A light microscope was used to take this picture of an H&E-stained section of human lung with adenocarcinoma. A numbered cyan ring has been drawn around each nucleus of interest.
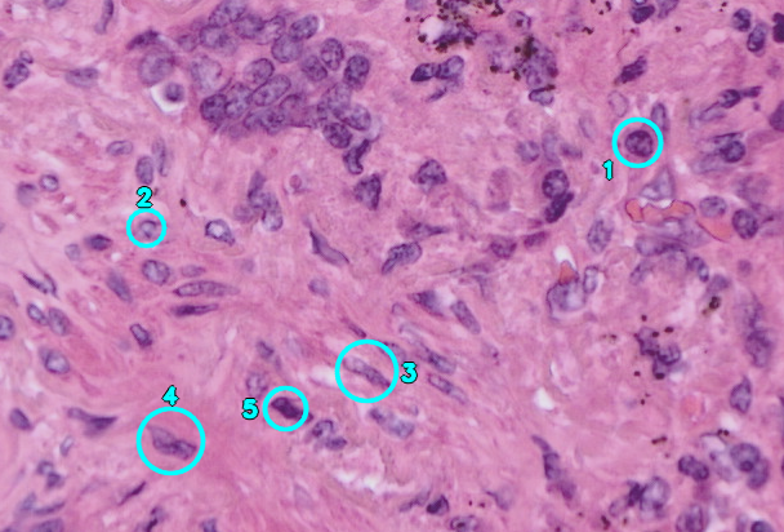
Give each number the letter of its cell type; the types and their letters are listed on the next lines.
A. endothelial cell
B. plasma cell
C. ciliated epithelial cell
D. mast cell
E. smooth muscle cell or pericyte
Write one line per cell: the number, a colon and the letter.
1: B
2: E
3: E
4: E
5: B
